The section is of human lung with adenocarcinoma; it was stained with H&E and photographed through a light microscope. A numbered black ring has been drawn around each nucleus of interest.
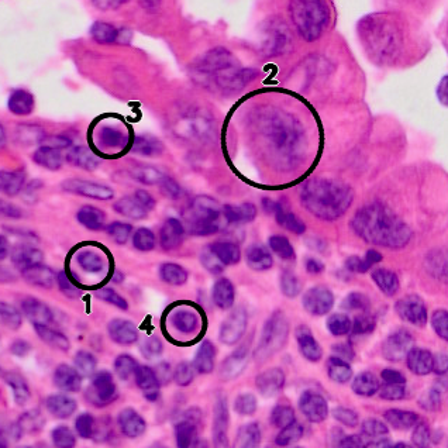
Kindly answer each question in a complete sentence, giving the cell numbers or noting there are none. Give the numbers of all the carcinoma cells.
Cell 2 alone, of all the numbered cells, is a carcinoma cell.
